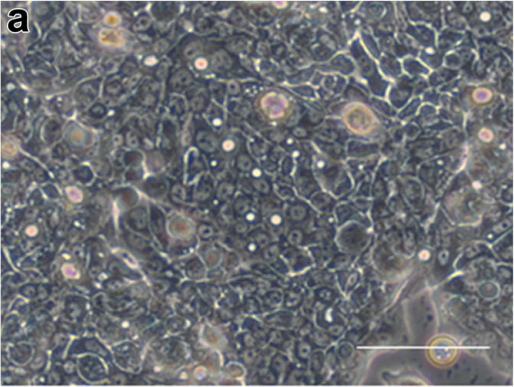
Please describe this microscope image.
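Scattered over the sheet are rounded, refractile cells with bright halos, some tinted yellow-orange, which look like cells rounding up or lifting off. Toward the edges a few larger, flatter cells spread out more loosely, and small bright dots lie among the cells.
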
